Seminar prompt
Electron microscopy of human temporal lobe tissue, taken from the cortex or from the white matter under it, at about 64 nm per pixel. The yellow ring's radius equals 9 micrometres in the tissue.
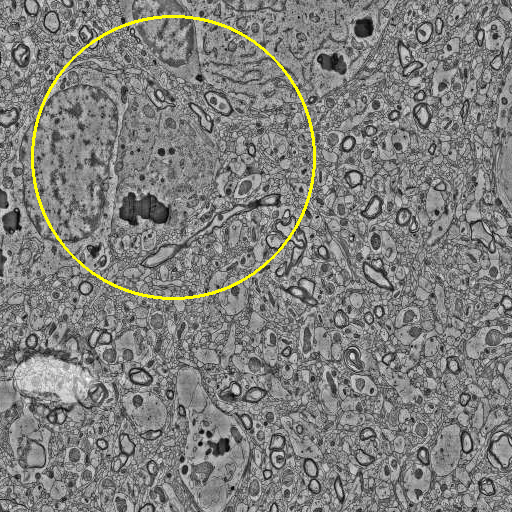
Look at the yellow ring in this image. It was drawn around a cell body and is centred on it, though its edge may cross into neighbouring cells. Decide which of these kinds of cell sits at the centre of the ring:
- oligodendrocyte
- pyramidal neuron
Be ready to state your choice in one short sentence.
The kind of cell at the ring's centre is an oligodendrocyte.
